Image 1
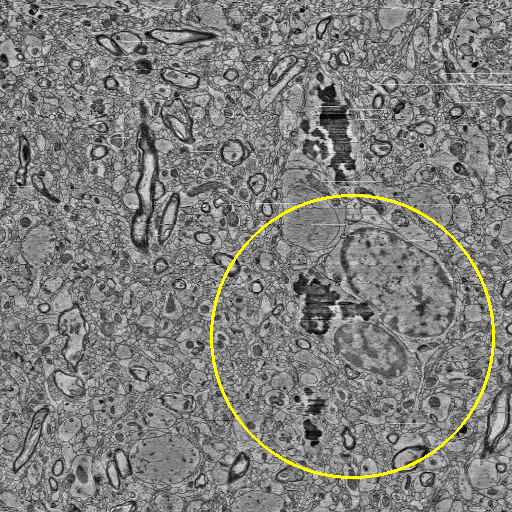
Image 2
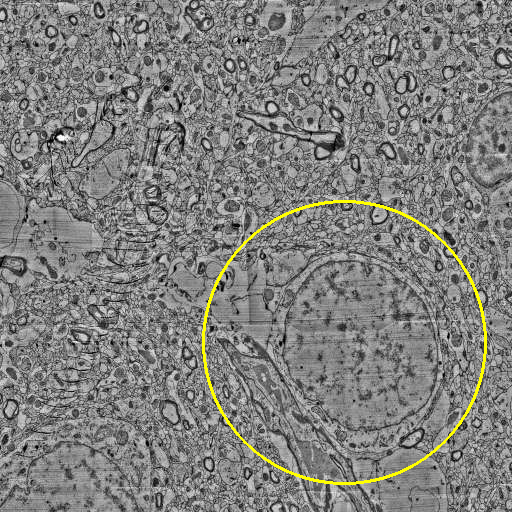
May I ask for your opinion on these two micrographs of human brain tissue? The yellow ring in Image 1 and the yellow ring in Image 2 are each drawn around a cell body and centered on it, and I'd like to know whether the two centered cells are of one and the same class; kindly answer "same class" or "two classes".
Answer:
two classes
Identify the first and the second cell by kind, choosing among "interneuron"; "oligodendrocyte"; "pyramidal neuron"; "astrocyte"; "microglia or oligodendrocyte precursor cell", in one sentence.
The one in the first picture is an oligodendrocyte, while the one in the second is a pyramidal neuron.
